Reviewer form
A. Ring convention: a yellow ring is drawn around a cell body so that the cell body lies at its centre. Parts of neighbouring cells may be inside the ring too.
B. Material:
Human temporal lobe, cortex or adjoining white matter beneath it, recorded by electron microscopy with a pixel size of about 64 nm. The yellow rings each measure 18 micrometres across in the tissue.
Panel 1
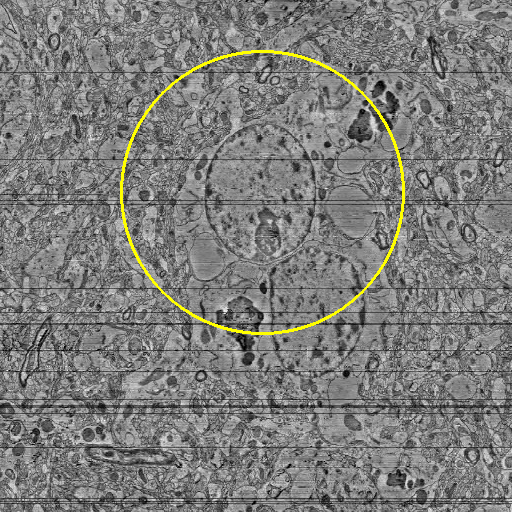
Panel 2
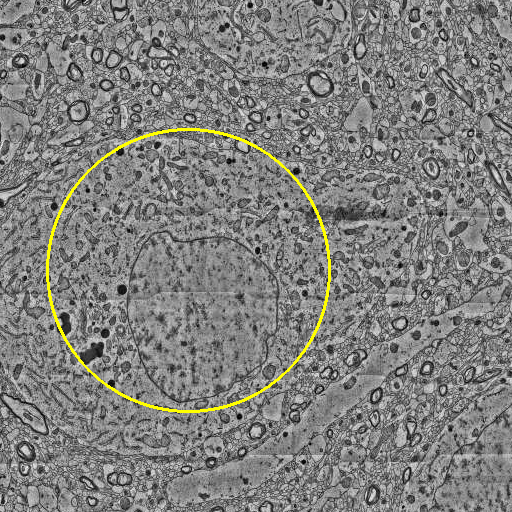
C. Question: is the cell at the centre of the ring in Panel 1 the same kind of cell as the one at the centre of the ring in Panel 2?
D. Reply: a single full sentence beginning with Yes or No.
No, the cells in Panel 1 and Panel 2 are two kinds of cell.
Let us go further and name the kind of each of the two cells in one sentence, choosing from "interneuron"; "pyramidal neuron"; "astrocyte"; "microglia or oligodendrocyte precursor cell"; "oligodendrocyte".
The ring of the first picture is on an astrocyte, the ring of the second on a pyramidal neuron.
